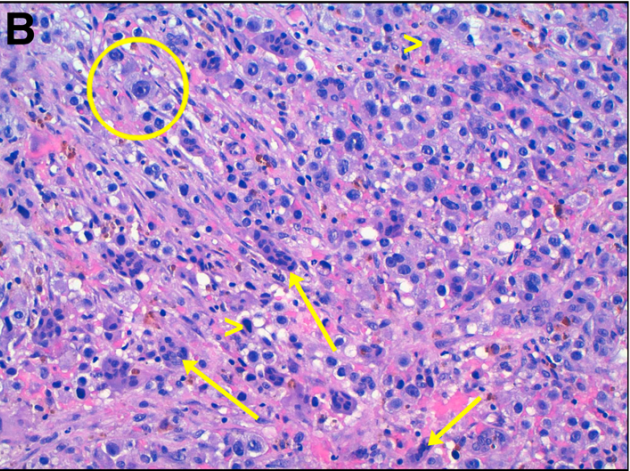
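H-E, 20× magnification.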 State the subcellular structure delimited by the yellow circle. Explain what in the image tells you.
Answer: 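The circled cell has a pale nucleus with a conspicuous dark central dot. So: prominent nucleolus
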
